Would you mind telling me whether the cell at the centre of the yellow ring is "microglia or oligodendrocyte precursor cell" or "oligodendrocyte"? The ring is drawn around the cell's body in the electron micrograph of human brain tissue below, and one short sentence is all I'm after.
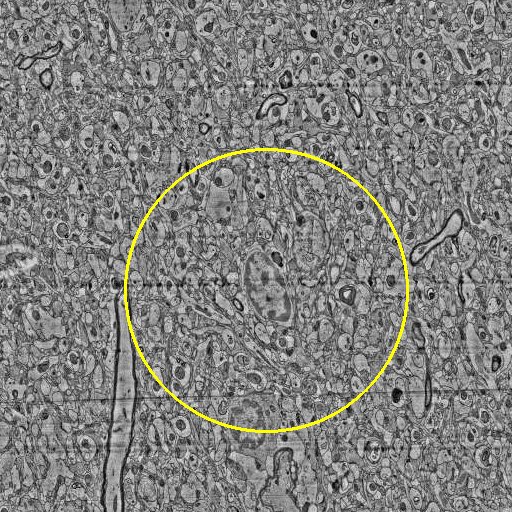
In the centre of the ring lies a microglial cell or oligodendrocyte precursor cell.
